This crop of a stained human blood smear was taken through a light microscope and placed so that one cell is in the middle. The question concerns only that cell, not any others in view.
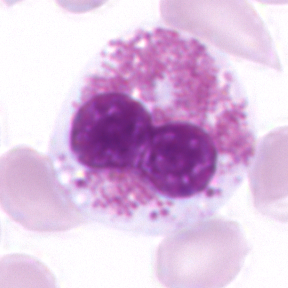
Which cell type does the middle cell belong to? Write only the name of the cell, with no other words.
eosinophil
